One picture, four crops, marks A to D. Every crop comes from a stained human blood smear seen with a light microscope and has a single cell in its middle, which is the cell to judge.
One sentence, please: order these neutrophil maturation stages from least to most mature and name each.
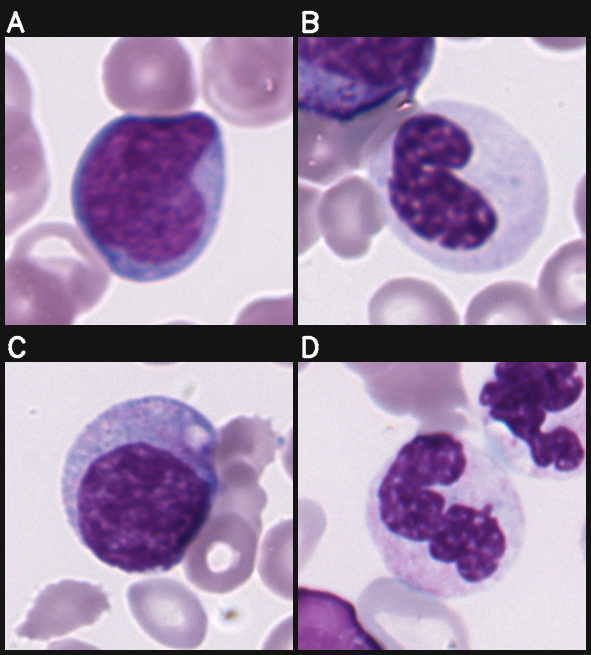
By maturity, starting with the least mature, the order is crop A (a myeloblast), crop C (a myelocyte), crop B (a band neutrophil) and crop D (a segmented neutrophil).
